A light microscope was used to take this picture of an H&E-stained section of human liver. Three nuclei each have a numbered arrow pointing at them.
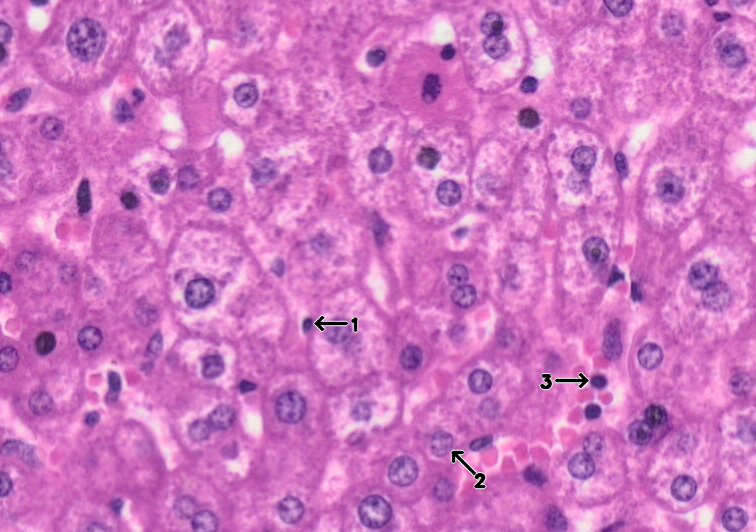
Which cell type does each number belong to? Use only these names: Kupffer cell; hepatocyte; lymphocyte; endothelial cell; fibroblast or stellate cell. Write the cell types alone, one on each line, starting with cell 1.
lymphocyte
hepatocyte
lymphocyte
